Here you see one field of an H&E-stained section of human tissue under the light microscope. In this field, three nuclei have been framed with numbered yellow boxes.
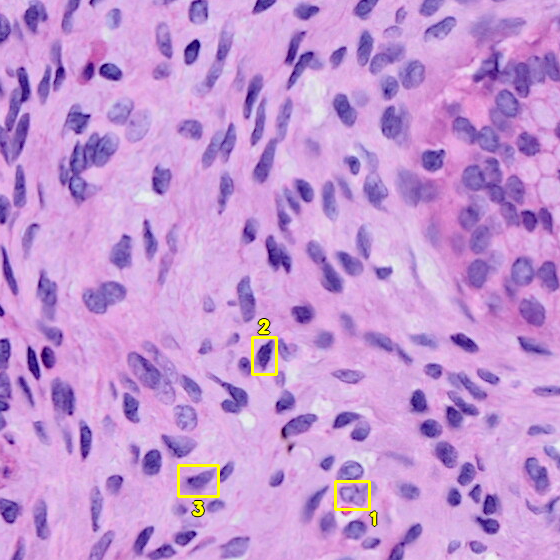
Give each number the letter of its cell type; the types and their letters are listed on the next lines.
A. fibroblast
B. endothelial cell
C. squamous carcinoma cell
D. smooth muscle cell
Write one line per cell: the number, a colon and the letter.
1: B
2: A
3: A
